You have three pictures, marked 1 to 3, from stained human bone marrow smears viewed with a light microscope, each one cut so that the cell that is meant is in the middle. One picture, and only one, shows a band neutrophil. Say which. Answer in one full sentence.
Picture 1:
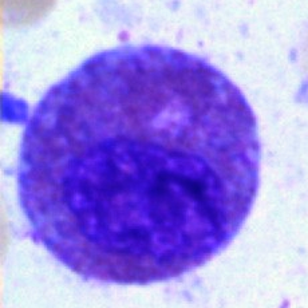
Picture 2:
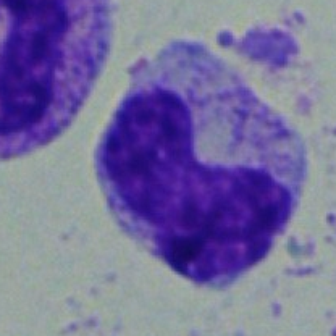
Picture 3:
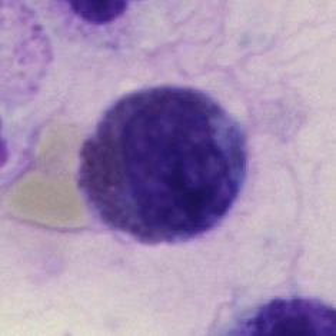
It is picture 2 that shows the band neutrophil.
